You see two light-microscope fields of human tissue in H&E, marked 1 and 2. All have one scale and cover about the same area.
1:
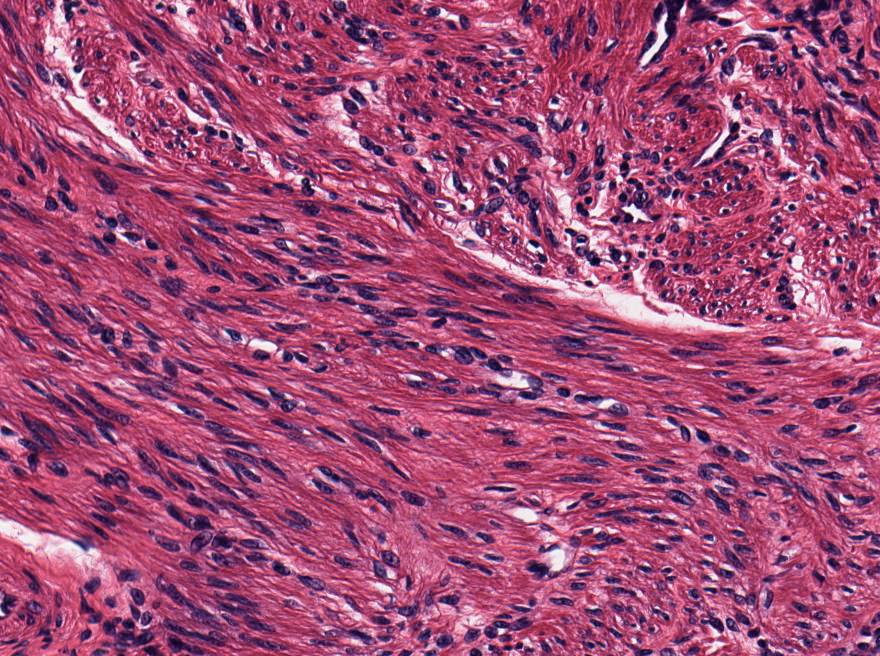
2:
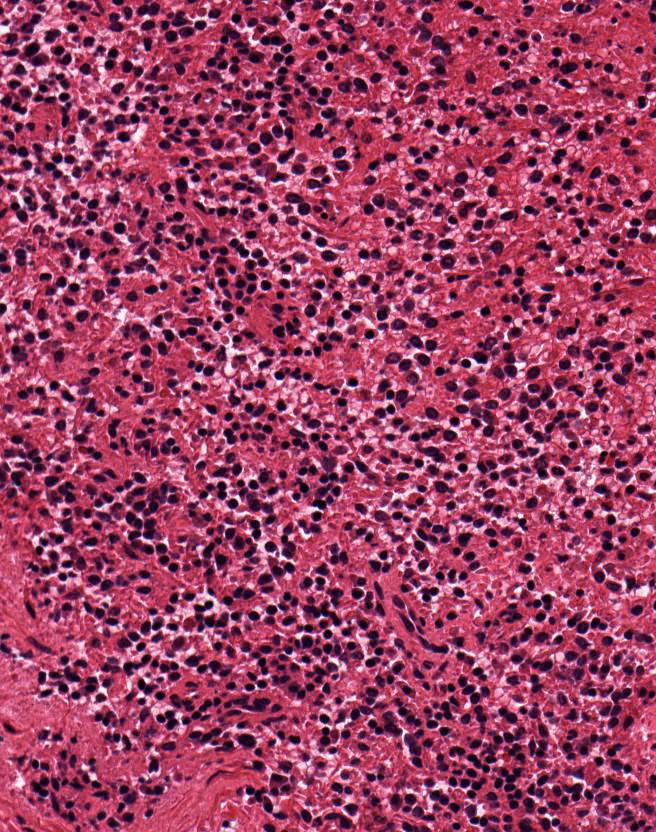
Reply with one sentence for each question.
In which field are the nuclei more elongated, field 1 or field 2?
The nuclei are more elongated in field 1.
